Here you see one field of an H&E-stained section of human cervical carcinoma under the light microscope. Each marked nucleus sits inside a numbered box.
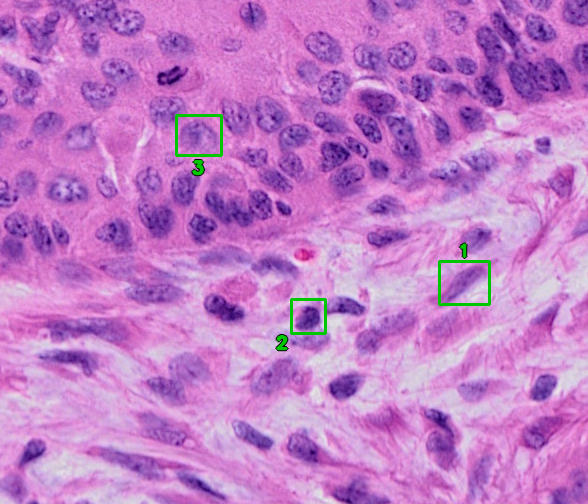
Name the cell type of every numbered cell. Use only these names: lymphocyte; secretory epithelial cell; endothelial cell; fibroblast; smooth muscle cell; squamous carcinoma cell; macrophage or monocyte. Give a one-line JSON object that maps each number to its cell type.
{"1": "fibroblast", "2": "lymphocyte", "3": "squamous carcinoma cell"}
